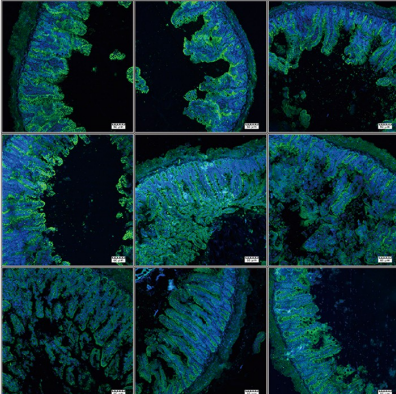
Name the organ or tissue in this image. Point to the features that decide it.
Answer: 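Finger-like projections line the inner surface of a curved wall.
Conclusion: small intestine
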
